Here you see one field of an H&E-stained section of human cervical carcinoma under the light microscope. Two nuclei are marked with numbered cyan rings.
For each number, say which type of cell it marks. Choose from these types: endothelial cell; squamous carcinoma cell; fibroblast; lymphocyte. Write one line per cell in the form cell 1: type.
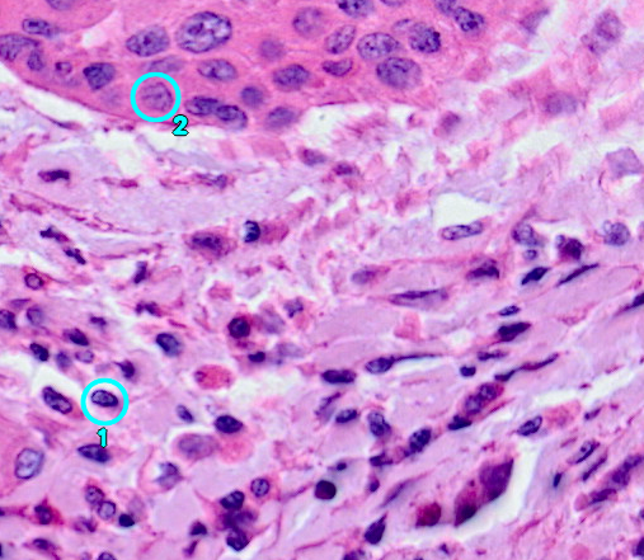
cell 1: lymphocyte
cell 2: squamous carcinoma cell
